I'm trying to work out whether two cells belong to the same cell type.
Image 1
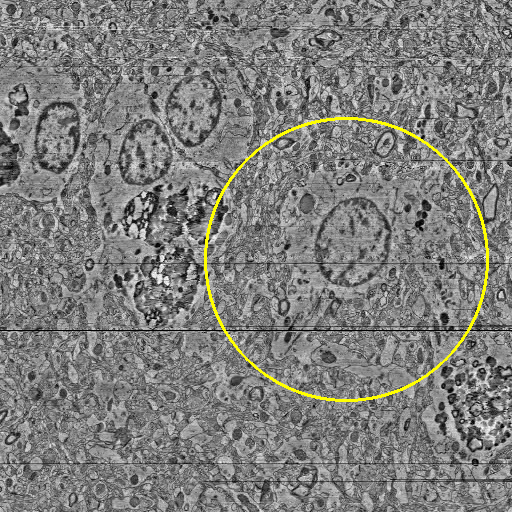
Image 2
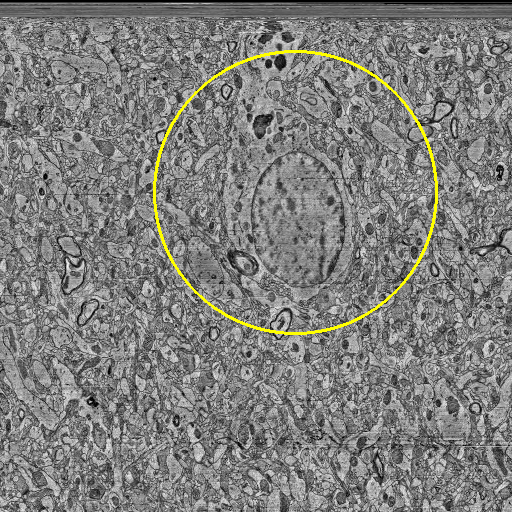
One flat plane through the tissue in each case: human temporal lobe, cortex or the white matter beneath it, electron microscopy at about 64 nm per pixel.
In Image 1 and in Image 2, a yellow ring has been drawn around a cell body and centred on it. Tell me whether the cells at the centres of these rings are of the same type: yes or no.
yes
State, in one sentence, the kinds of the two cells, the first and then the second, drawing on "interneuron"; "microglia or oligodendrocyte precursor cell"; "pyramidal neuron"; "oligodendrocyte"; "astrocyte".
The cell at the ring centre is an astrocyte in both pictures.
